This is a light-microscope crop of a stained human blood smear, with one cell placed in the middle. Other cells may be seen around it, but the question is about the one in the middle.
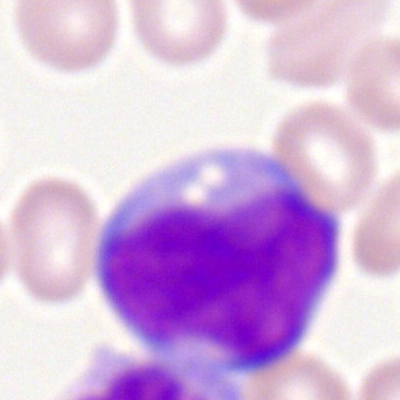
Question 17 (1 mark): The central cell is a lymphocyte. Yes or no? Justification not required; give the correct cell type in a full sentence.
No, the cell centered in the crop is a blast, not a lymphocyte.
